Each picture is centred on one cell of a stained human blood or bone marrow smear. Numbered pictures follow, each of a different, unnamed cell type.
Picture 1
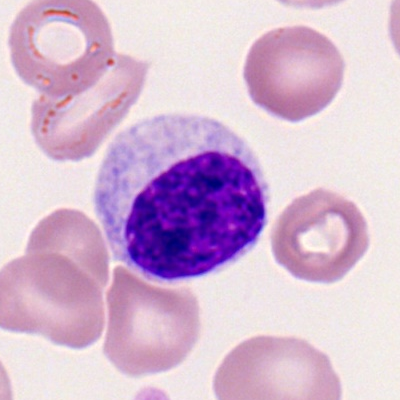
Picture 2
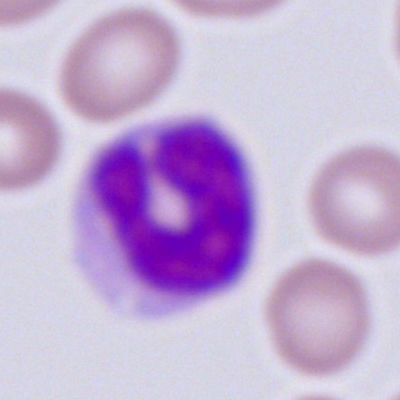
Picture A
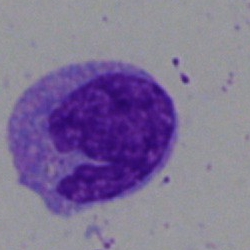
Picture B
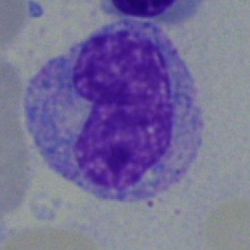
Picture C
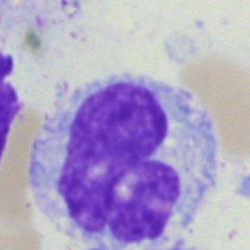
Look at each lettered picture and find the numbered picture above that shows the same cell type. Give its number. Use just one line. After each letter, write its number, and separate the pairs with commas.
A 2, B 2, C 2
